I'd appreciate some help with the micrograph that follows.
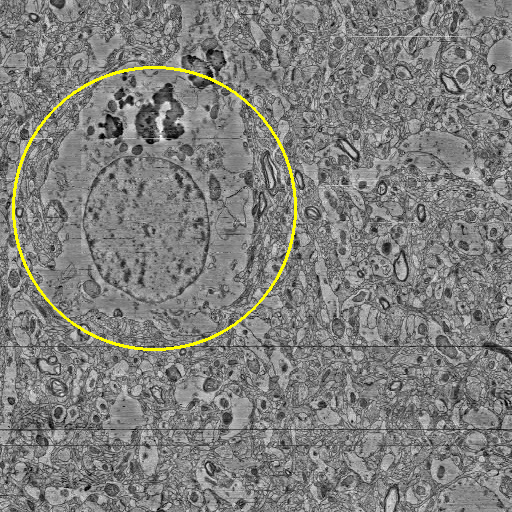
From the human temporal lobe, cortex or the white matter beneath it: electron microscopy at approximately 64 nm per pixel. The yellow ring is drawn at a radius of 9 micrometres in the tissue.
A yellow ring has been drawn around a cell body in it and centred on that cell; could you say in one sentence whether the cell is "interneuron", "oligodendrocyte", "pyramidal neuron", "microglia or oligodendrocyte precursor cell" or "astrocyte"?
It is an astrocyte at the centre of the ring.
